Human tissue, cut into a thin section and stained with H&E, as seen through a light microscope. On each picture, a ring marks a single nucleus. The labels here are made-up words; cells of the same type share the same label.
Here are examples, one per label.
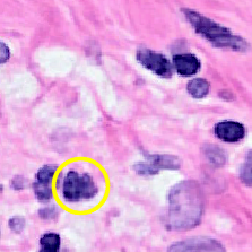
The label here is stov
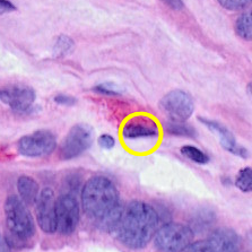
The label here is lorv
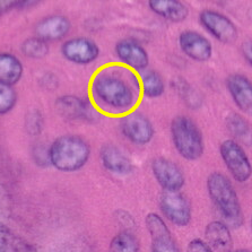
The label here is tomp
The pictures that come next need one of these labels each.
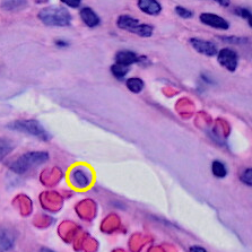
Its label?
lorv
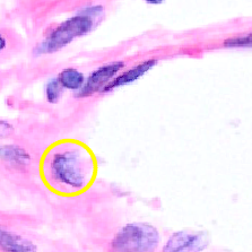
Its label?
lorv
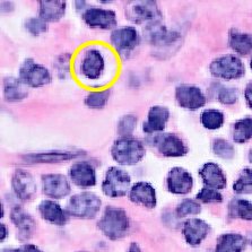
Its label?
stov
